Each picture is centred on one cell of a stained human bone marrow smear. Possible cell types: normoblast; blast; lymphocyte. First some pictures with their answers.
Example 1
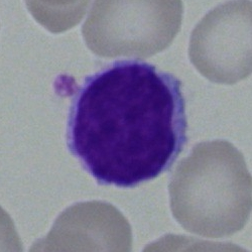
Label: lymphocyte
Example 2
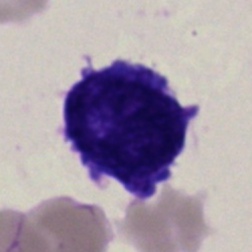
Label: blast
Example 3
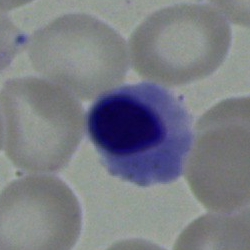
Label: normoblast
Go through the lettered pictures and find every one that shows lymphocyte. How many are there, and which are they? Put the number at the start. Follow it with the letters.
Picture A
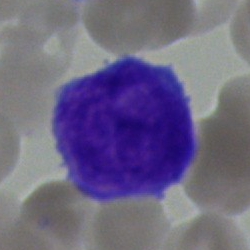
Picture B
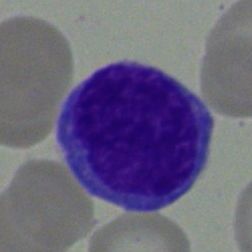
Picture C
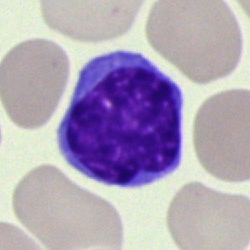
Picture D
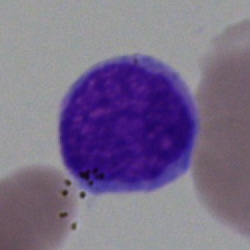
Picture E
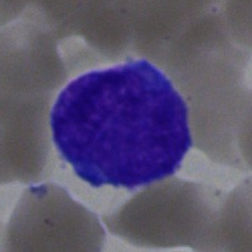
1, namely C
